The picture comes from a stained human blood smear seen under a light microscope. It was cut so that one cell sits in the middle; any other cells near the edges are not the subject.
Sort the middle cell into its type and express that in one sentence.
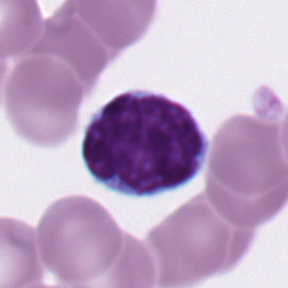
The cell in the exact centre of the crop is a lymphocyte.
